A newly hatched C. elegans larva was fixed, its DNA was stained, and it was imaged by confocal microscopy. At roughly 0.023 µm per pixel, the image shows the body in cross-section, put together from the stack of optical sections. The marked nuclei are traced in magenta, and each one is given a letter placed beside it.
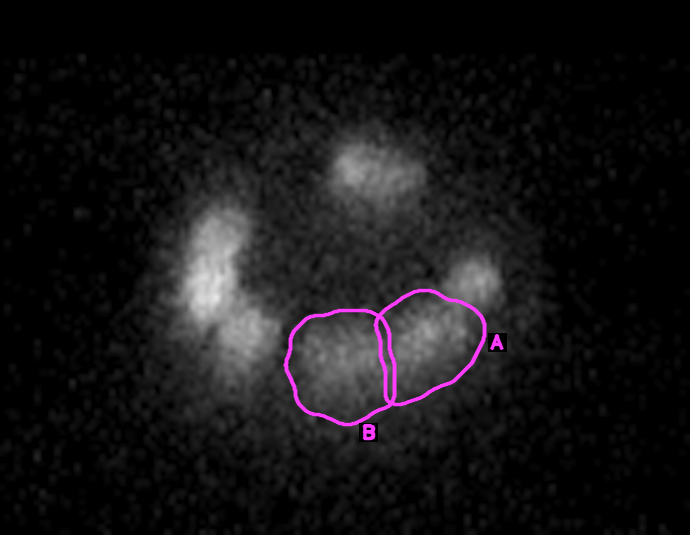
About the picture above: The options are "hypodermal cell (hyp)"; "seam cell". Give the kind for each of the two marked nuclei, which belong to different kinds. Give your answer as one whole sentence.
B belongs to a seam cell, and A to a hypodermal cell (hyp).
